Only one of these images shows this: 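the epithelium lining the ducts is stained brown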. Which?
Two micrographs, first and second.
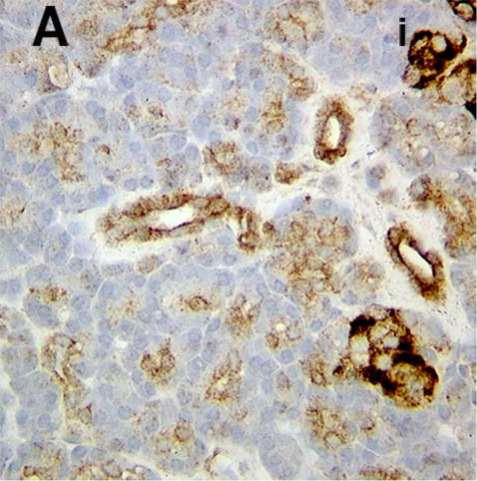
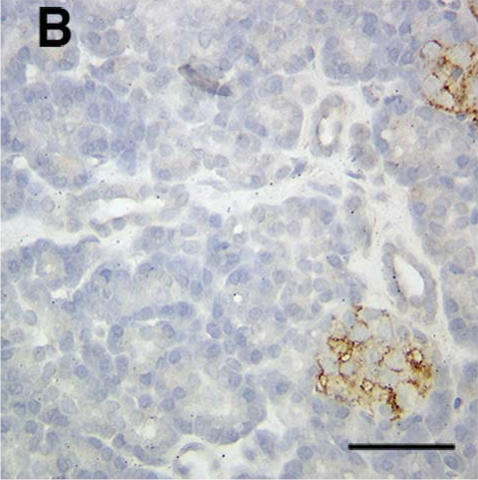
the first image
